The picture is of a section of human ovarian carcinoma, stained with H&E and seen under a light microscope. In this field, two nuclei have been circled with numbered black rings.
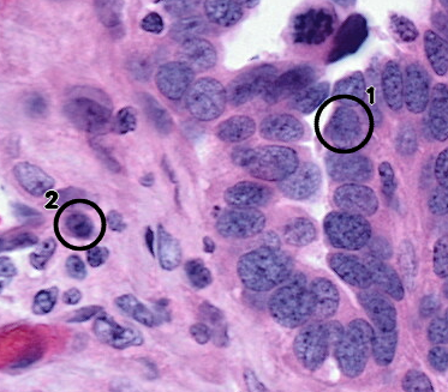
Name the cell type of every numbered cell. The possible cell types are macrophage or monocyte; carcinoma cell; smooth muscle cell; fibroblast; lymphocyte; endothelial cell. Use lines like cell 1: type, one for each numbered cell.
cell 1: carcinoma cell
cell 2: lymphocyte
